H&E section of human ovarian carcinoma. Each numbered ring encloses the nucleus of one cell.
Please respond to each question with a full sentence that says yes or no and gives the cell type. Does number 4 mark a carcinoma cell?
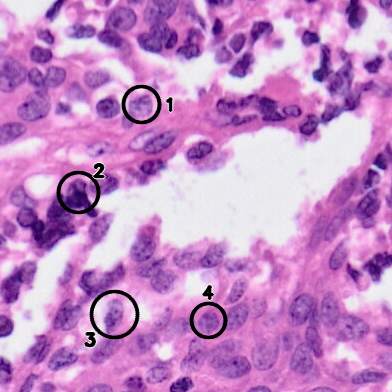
Yes, in this section the cell with number 4 is a carcinoma cell.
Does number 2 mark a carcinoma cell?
Yes, the cell that is numbered 2 is a carcinoma cell.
